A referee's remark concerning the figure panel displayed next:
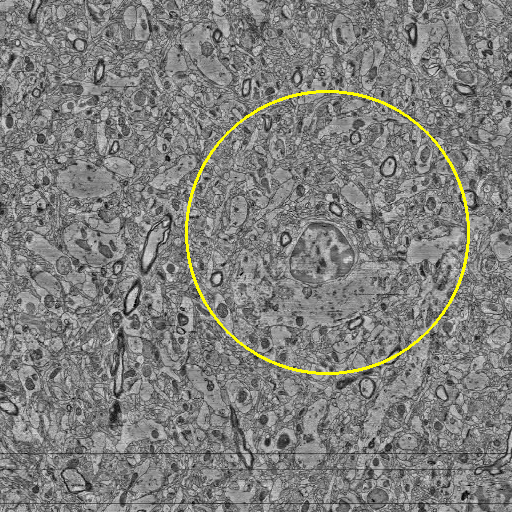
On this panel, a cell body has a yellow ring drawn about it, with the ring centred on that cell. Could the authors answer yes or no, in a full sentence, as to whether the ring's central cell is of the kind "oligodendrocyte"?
No, the cell sitting at the middle of the ring on this panel belongs to a different kind.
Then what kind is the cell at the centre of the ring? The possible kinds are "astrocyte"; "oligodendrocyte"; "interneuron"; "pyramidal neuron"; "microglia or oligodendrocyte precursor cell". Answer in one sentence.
It is a microglial cell or oligodendrocyte precursor cell at the centre of the ring.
